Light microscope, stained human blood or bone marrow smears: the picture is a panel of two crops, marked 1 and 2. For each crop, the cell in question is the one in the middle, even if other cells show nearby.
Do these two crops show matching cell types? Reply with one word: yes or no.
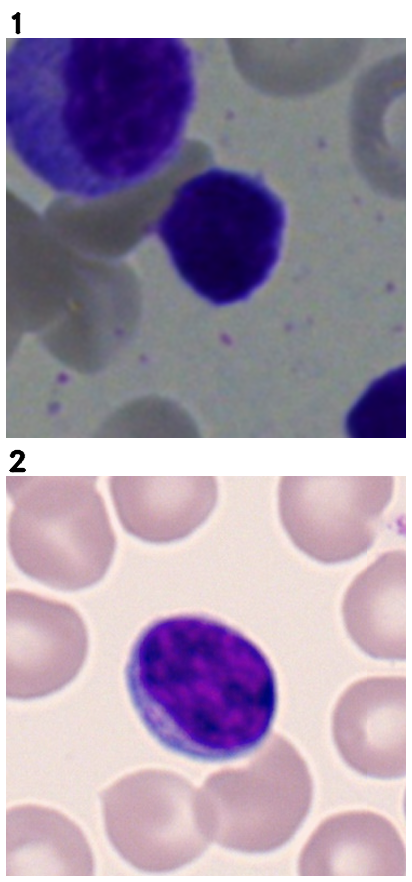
yes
